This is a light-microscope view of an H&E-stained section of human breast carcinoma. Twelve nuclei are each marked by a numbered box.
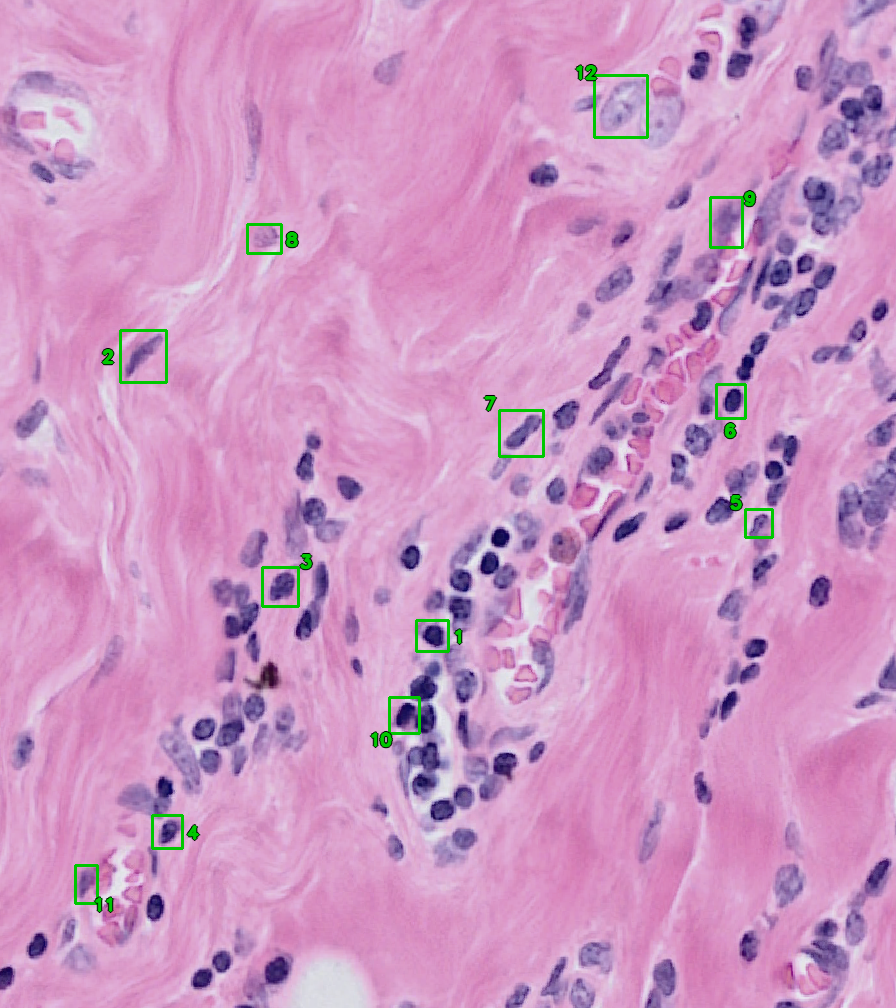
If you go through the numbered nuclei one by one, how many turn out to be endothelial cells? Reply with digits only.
3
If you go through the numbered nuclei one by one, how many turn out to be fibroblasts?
2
